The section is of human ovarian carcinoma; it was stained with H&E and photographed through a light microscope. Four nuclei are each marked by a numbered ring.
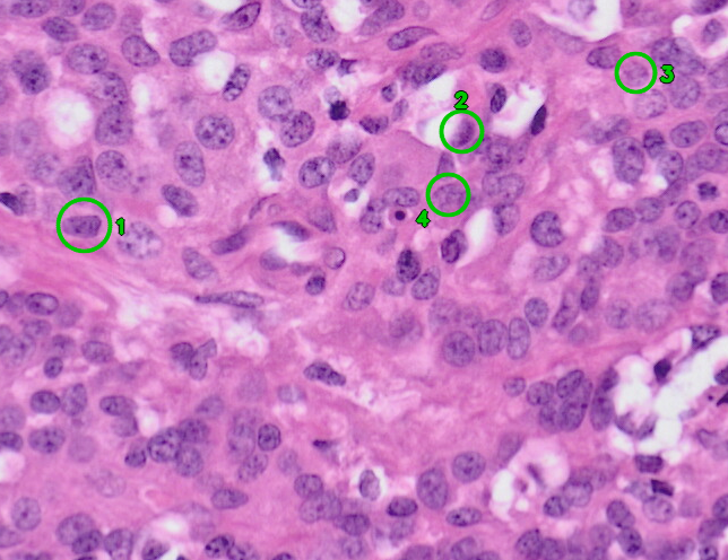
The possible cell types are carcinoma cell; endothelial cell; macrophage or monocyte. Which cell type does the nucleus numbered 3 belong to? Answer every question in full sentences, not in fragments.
In this section, the cell tagged 3 is a carcinoma cell.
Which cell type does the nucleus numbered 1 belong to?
Regarding cell 1, this one is a macrophage or monocyte.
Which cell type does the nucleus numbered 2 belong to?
The nucleus with number 2 is that of a carcinoma cell.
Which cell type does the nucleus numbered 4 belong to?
The numbered cell 4 in this field is a carcinoma cell.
